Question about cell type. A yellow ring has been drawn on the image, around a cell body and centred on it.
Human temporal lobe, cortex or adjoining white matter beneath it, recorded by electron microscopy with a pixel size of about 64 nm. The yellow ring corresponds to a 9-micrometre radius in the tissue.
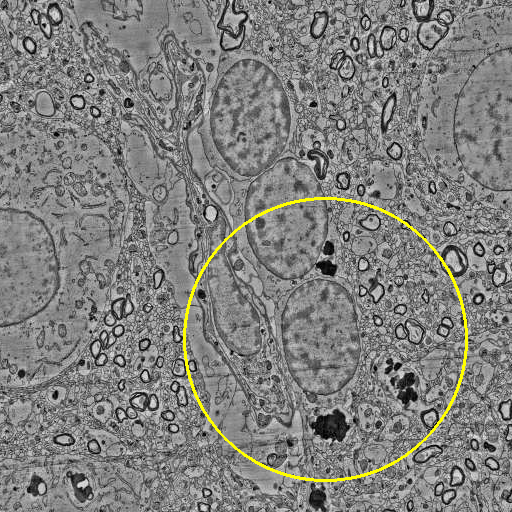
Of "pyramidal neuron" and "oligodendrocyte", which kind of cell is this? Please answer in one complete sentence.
At the centre of the ring lies an oligodendrocyte.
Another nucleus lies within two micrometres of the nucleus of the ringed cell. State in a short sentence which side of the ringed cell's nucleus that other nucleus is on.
The other nucleus is positioned above it.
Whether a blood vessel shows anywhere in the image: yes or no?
Yes, there is a blood vessel in the image.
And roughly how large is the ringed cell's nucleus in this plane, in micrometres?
Approximately 7 micrometres long and 5 micrometres wide, in this plane.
